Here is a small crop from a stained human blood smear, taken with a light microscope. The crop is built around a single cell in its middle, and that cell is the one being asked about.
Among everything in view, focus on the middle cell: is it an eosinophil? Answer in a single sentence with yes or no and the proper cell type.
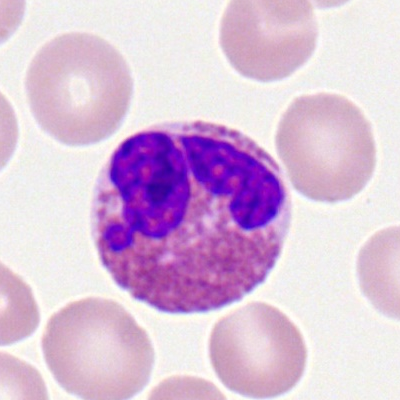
Yes, the central cell here is an eosinophil.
